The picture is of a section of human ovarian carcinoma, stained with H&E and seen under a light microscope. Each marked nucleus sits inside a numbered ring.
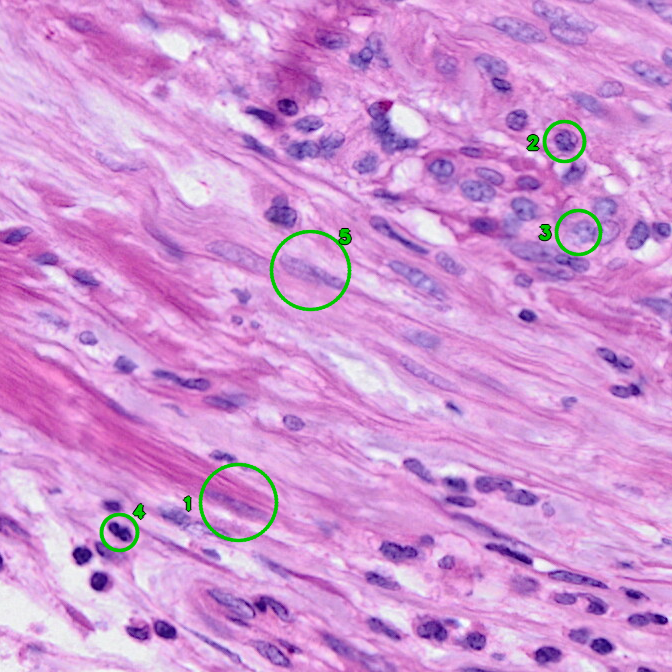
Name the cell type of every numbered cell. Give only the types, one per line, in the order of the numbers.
smooth muscle cell
macrophage or monocyte
endothelial cell
lymphocyte
fibroblast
